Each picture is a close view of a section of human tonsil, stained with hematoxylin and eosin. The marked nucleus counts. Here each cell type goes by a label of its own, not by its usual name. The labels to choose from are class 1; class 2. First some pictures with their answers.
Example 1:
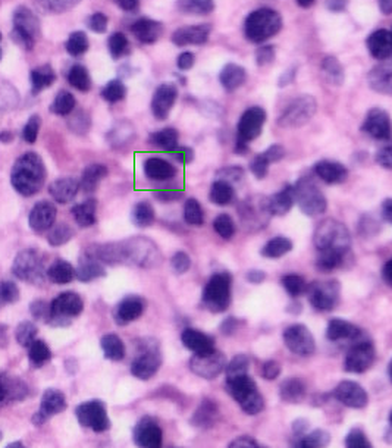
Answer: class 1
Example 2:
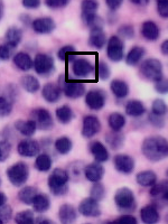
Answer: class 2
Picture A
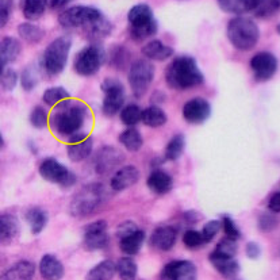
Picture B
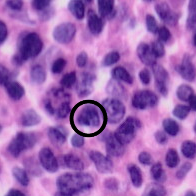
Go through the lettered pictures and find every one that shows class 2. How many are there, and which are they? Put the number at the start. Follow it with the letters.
0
